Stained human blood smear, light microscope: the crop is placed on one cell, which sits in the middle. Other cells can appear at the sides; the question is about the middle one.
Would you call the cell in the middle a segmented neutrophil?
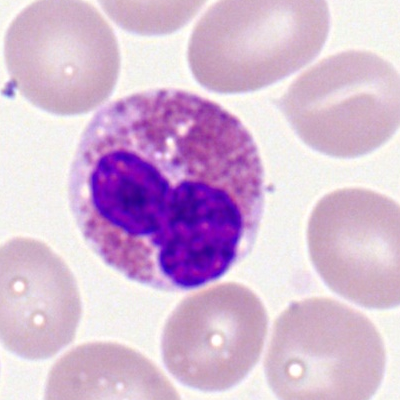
no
